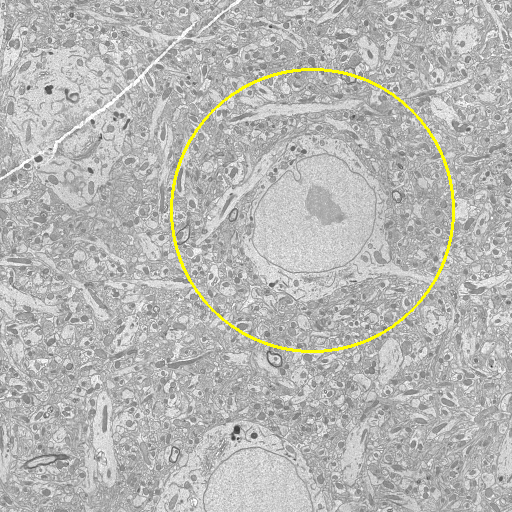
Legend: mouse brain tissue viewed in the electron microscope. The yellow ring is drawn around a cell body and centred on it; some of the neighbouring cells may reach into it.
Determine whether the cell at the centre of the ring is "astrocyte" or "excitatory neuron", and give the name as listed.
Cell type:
excitatory neuron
